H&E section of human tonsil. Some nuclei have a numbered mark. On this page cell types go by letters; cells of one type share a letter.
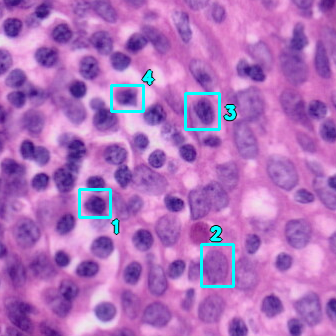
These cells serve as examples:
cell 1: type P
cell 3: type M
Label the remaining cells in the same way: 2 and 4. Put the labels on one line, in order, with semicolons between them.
type M; type P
